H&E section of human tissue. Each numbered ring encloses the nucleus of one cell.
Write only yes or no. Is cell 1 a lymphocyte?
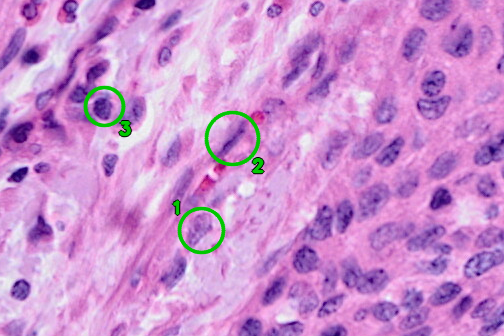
no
